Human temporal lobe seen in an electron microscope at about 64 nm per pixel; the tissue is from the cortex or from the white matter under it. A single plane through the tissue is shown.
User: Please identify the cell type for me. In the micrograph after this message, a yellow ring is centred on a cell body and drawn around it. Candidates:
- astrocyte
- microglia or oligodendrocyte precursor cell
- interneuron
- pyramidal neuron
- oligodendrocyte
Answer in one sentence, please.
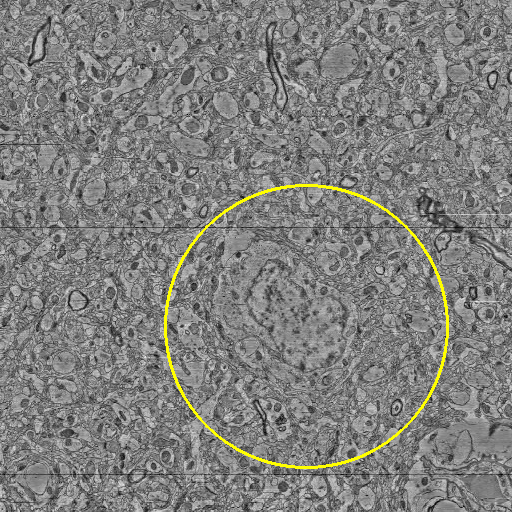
The ring is drawn around the cell body of an interneuron.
